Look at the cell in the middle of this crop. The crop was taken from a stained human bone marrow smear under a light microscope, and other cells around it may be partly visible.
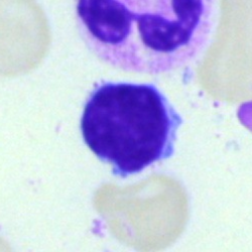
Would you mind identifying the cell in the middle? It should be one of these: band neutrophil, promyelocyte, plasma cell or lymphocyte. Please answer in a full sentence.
The cell sitting right in the middle is a lymphocyte.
